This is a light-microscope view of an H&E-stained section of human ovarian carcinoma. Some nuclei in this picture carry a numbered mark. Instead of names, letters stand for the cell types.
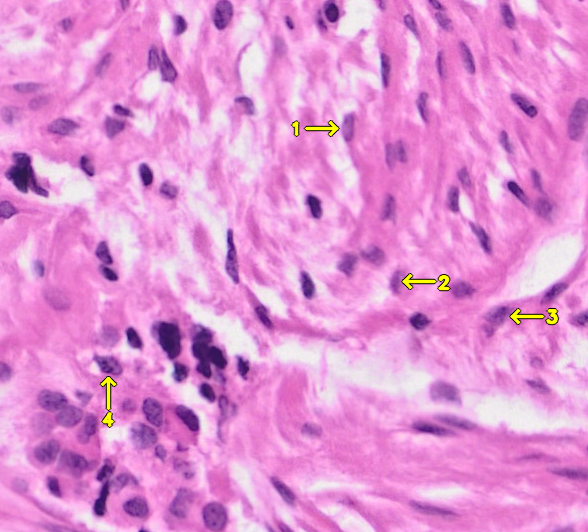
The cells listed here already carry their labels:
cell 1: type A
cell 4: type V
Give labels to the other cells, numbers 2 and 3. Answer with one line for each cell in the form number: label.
2: type A
3: type A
